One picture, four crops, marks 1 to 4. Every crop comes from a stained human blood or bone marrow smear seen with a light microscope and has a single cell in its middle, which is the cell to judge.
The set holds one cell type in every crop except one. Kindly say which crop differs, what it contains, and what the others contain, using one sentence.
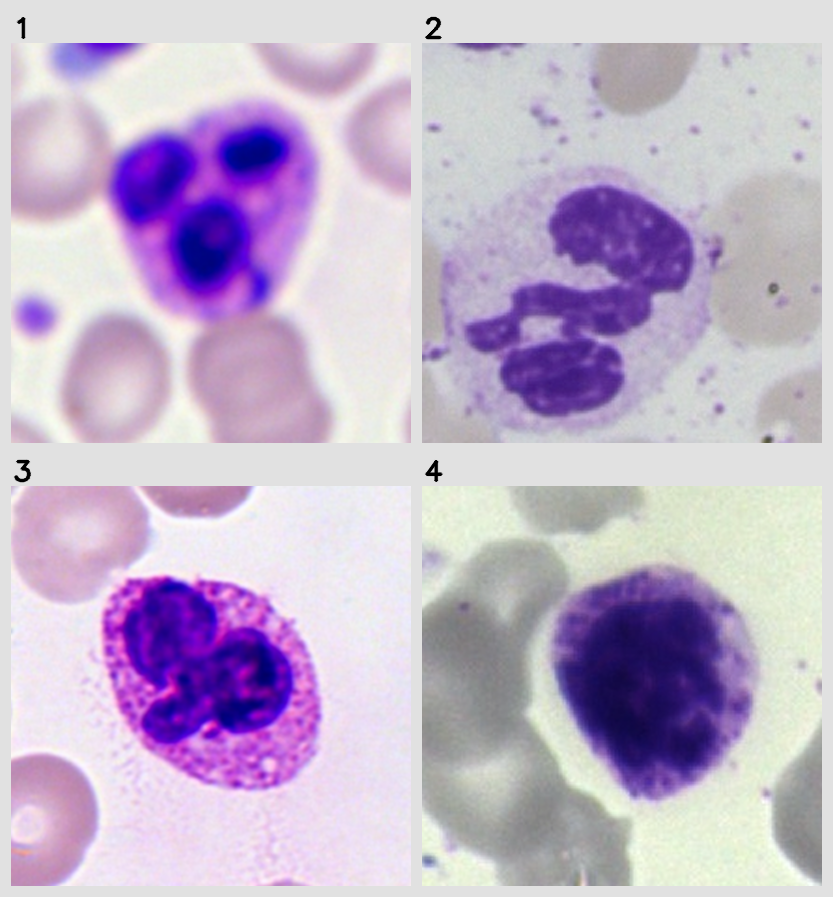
All crops show basophils except crop 2, which is a segmented neutrophil.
